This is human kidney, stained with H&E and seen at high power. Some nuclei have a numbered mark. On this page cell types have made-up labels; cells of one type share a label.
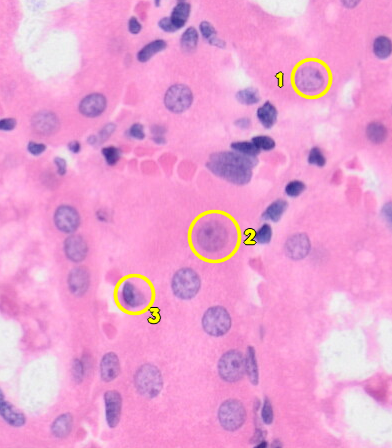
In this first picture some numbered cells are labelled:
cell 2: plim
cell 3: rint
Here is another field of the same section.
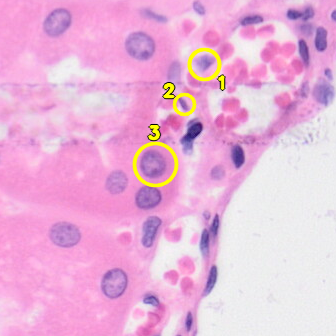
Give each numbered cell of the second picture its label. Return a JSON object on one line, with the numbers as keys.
{"1": "rint", "2": "rint", "3": "plim"}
